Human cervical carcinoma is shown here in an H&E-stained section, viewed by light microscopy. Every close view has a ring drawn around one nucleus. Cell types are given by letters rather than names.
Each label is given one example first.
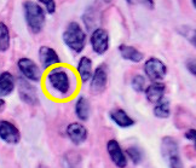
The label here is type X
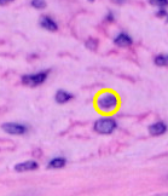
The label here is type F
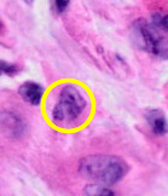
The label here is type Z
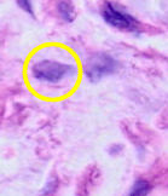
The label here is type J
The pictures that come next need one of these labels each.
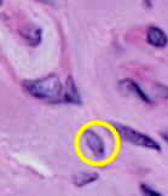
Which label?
type J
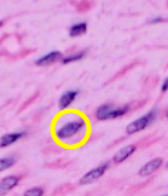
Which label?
type F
